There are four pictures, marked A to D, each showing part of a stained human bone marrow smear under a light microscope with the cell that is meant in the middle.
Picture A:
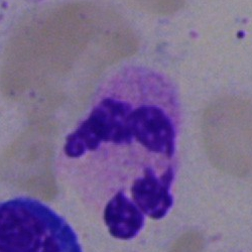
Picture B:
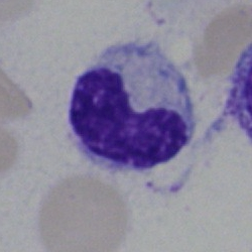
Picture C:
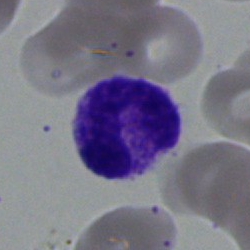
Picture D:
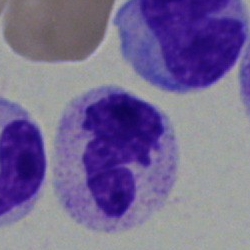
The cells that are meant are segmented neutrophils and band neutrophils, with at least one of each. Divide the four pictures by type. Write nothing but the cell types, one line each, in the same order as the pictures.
segmented neutrophil
band neutrophil
segmented neutrophil
segmented neutrophil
